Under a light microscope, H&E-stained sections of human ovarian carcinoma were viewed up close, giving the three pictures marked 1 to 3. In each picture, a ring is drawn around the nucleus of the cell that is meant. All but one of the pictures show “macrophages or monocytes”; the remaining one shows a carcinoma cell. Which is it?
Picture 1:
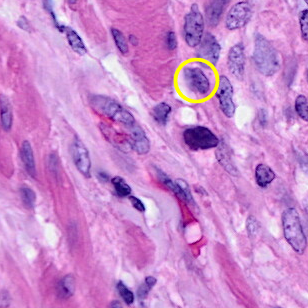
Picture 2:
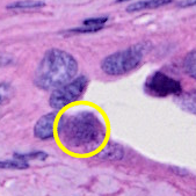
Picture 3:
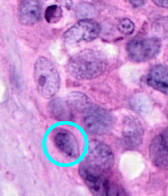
2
